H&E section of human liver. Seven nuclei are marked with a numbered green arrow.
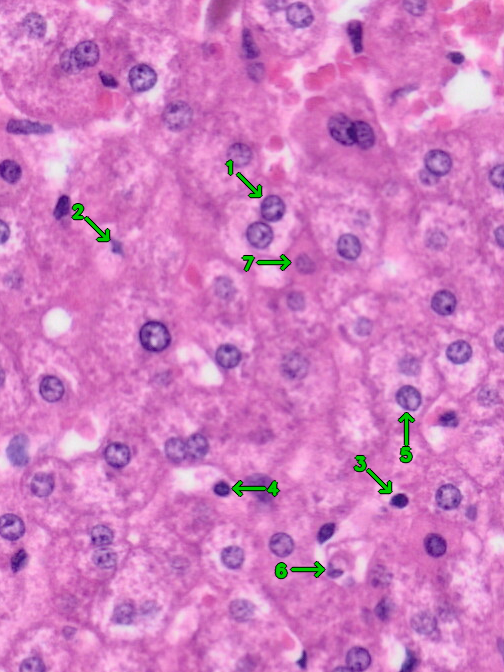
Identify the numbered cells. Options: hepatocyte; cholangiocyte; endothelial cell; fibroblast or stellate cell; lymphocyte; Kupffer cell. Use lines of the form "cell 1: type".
cell 1: hepatocyte
cell 2: endothelial cell
cell 3: lymphocyte
cell 4: lymphocyte
cell 5: hepatocyte
cell 6: Kupffer cell
cell 7: hepatocyte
